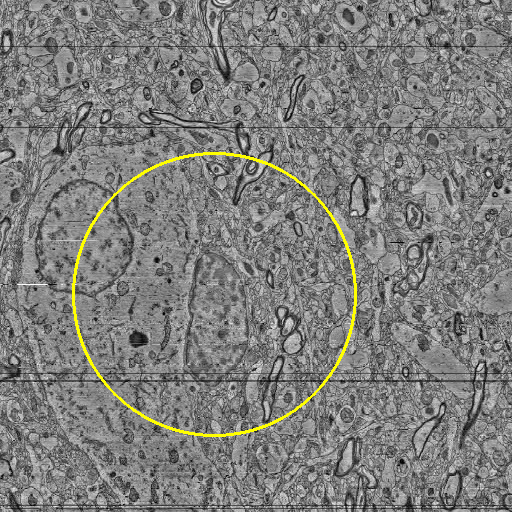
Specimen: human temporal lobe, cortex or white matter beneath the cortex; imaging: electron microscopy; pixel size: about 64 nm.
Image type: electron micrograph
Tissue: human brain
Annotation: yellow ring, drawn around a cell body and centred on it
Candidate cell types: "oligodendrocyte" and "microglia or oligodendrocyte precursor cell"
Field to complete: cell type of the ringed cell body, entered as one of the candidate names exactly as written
oligodendrocyte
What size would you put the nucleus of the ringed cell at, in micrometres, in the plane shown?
The nucleus comes to roughly 8 by 4 micrometres in this plane.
